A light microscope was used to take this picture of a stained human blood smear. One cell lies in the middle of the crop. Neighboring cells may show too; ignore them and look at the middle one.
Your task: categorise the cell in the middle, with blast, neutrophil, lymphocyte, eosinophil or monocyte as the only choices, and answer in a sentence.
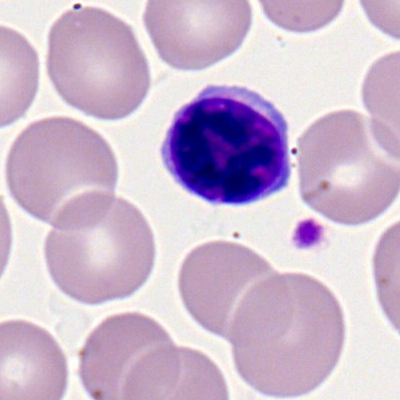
The centered cell in this crop is a lymphocyte.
